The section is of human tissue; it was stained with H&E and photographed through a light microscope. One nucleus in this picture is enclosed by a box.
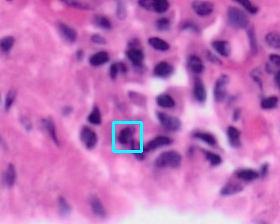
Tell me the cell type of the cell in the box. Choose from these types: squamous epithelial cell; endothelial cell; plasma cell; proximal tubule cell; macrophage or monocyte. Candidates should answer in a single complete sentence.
As classified here, the cell in the box is a plasma cell.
